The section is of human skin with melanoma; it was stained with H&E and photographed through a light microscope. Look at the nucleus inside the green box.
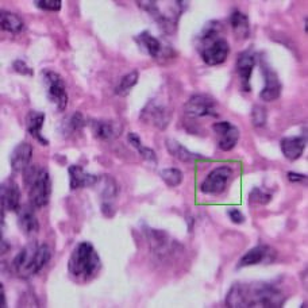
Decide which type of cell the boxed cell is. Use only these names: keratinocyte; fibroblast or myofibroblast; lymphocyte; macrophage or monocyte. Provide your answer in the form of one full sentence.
For cell typing purposes, the boxed cell is a macrophage or monocyte.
